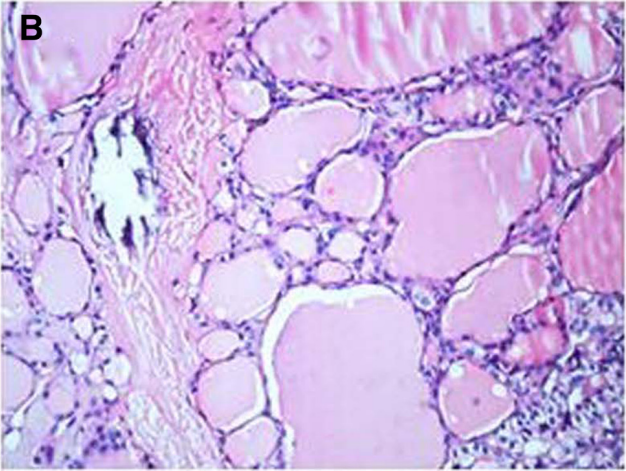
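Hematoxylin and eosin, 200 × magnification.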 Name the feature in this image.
Various-sized follicles.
